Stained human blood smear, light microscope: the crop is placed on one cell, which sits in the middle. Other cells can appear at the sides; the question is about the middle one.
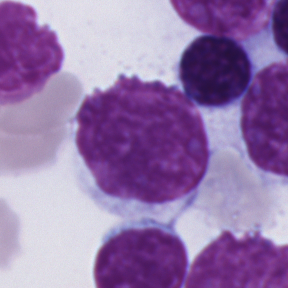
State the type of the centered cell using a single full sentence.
The identification for the central cell is a myeloblast.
